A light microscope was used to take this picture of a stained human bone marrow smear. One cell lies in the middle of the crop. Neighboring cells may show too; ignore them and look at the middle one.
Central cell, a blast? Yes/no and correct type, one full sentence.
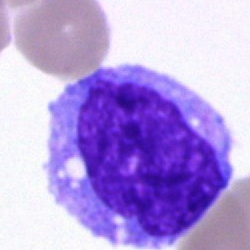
No, at the centre of this crop is found a monocyte instead of a blast.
